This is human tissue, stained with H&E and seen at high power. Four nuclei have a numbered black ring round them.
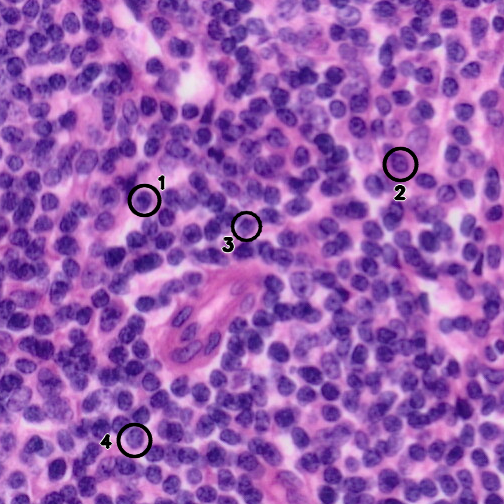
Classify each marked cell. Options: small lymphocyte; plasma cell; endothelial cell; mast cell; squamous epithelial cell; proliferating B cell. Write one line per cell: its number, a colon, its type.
1: small lymphocyte
2: plasma cell
3: small lymphocyte
4: small lymphocyte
